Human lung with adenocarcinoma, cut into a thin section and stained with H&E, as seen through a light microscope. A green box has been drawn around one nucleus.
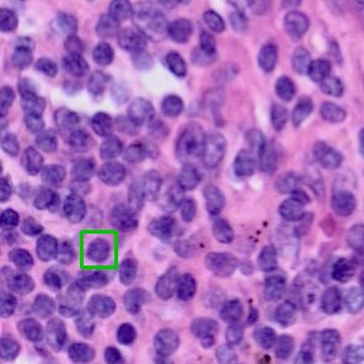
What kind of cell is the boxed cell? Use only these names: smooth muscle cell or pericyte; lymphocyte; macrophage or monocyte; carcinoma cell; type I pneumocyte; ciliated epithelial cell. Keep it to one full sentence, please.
With respect to cell type, the boxed cell is a lymphocyte.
